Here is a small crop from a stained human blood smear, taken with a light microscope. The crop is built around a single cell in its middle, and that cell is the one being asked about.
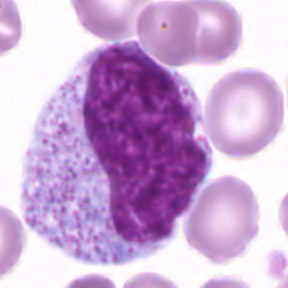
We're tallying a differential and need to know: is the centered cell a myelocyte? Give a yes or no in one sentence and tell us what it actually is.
Yes, the cell of interest in the middle is a myelocyte.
